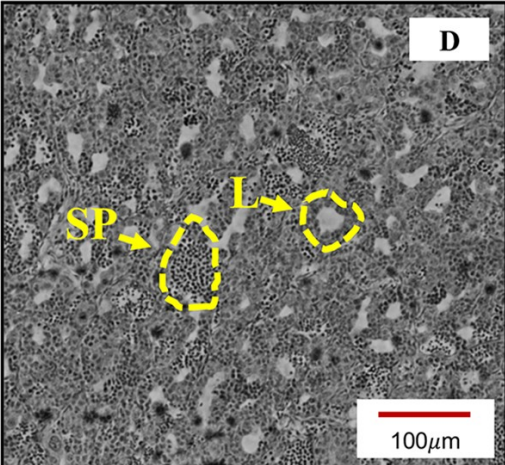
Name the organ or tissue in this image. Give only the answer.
Testis.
